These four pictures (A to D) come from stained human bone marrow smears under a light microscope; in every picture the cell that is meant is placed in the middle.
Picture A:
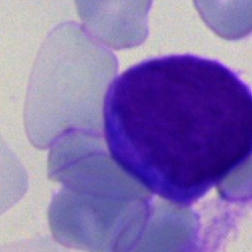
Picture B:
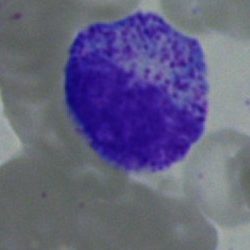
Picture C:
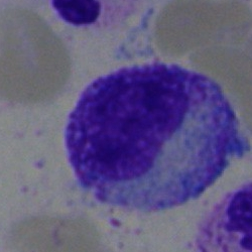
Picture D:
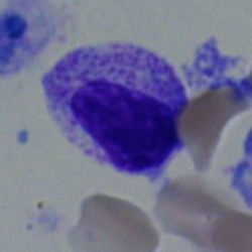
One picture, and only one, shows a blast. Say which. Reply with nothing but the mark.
A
